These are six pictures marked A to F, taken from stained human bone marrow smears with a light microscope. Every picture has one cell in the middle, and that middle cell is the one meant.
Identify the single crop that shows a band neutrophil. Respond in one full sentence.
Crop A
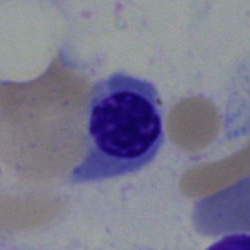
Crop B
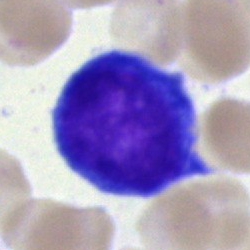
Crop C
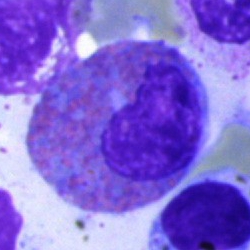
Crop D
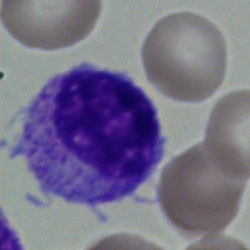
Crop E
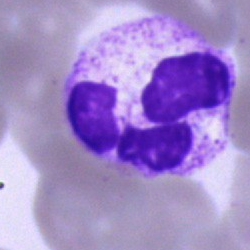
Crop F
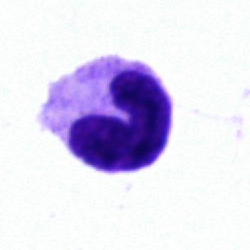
Crop F is the crop featuring a band neutrophil at its center.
